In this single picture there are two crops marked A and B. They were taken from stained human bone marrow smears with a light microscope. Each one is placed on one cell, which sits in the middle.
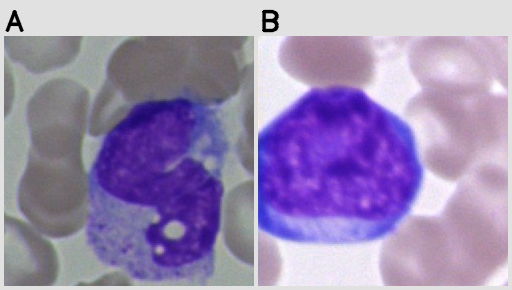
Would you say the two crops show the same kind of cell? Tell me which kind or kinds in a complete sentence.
No, crop A corresponds to a monocyte, while crop B corresponds to a blast.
